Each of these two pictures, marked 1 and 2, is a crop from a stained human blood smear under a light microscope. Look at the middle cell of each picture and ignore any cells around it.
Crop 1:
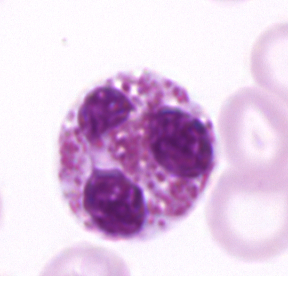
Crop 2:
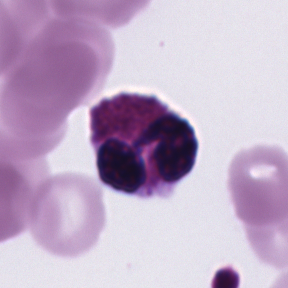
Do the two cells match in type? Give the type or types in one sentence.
Yes, both crops contain eosinophils at their centres.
